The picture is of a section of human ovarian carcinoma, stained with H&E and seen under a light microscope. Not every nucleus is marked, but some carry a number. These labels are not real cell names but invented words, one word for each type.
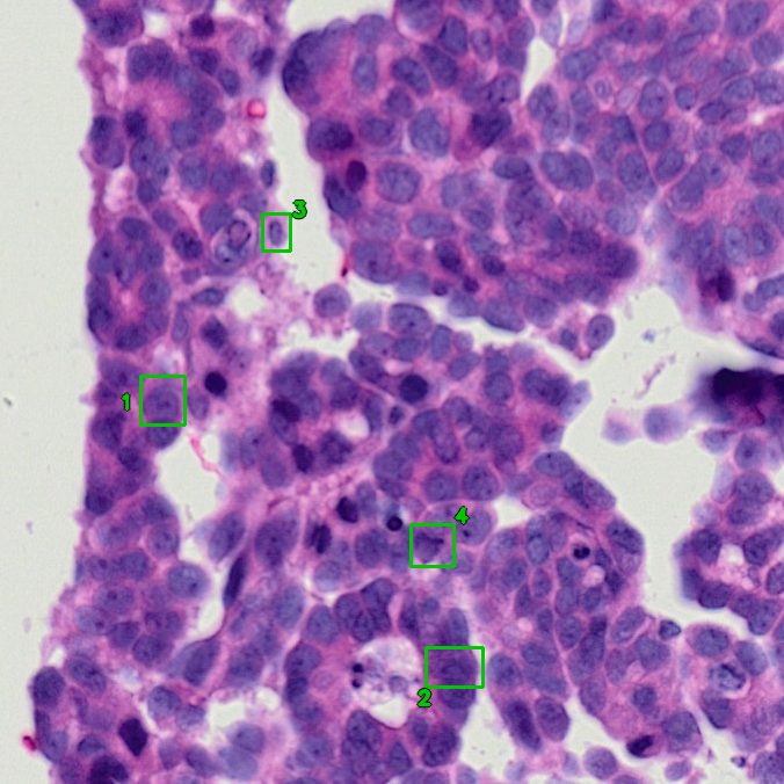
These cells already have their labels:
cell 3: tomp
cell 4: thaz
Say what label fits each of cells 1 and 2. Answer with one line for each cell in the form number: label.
1: thaz
2: thaz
